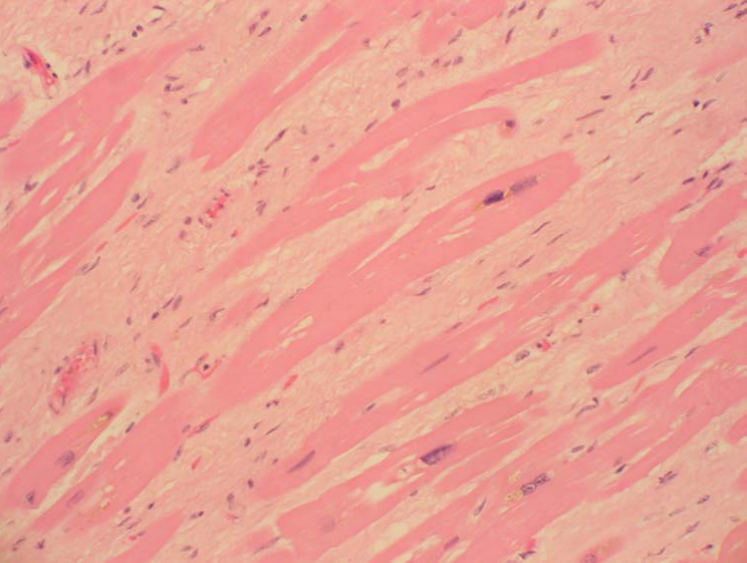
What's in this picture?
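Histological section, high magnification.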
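This is heart muscle in which the muscle fibres are separated by broad areas of fibrosis. Some fibres carry large, dark nuclei that are much bigger than the other nuclei in the field, consistent with enlarged muscle cells. Between the fibres lies wide, pale pink, loose, finely fibrillar tissue containing scattered small spindle-shaped nuclei, so the muscle fibres stand apart rather than lying packed together. A few small vessels containing red blood cells are seen within this pale tissue. Inflammatory cells are sparse.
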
